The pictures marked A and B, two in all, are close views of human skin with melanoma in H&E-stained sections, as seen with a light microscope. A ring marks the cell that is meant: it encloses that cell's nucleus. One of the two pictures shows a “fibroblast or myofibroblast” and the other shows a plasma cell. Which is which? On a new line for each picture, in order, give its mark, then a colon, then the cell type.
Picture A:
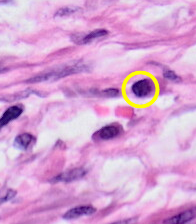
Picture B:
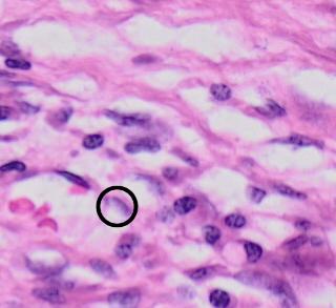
A: plasma cell
B: fibroblast or myofibroblast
